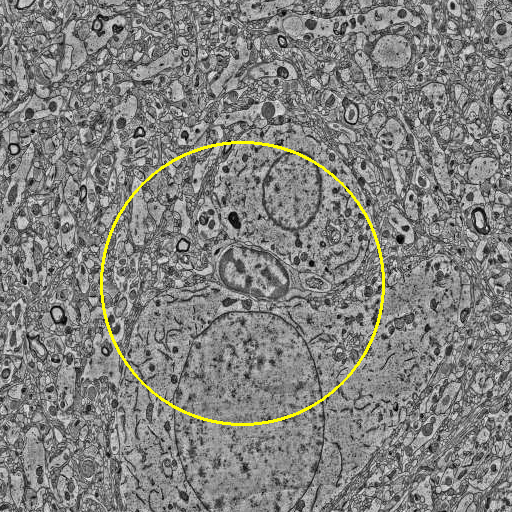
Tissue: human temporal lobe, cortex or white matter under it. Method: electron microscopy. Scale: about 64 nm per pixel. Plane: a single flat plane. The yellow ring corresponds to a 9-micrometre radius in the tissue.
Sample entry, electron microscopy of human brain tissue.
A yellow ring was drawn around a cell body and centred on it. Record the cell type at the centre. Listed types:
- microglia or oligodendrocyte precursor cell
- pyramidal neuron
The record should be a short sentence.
The cell at the ring's centre is a microglial cell or oligodendrocyte precursor cell.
